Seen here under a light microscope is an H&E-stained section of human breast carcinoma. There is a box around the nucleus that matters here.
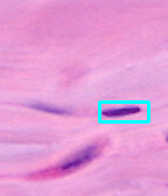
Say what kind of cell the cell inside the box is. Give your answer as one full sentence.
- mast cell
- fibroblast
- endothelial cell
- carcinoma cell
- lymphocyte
Histopathologically, the cell inside the box is a fibroblast.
